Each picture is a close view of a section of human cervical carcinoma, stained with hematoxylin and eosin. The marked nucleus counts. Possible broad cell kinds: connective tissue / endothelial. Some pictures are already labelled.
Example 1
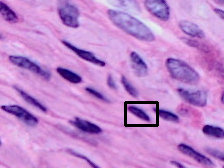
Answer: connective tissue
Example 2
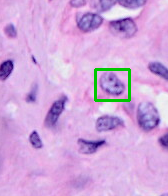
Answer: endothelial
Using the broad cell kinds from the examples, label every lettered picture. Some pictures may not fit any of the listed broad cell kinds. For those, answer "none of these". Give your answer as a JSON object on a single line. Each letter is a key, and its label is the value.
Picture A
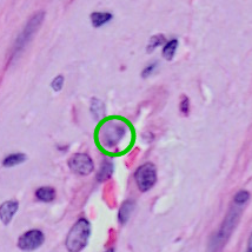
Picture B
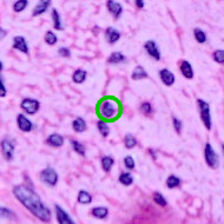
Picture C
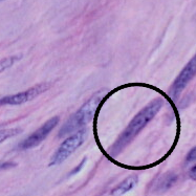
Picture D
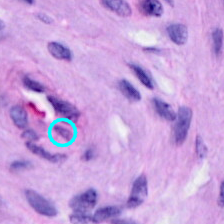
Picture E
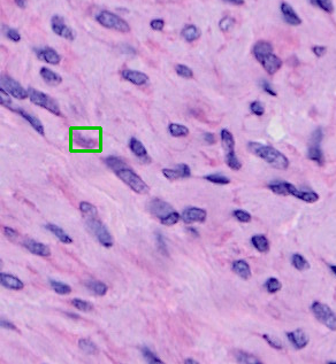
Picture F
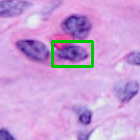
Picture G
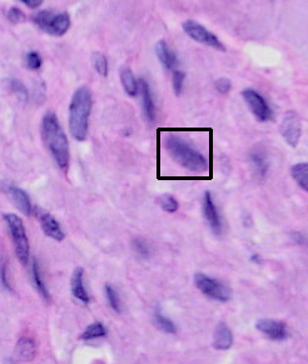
{"A": "endothelial", "B": "none of these", "C": "none of these", "D": "endothelial", "E": "none of these", "F": "endothelial", "G": "connective tissue"}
